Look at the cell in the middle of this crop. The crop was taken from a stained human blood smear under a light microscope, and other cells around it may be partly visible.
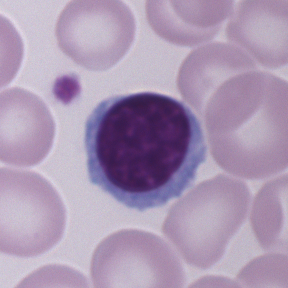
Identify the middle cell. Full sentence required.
The centered cell in this crop is a lymphocyte.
